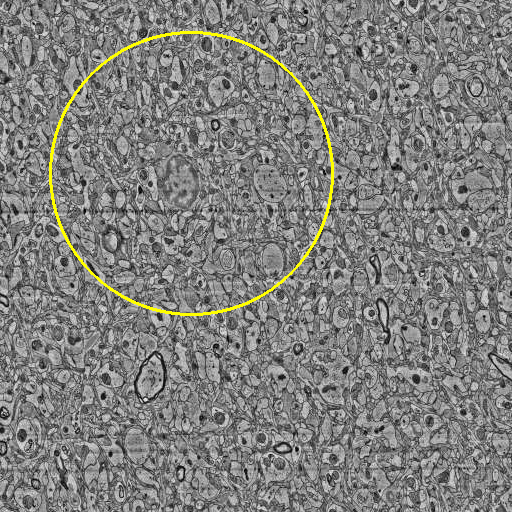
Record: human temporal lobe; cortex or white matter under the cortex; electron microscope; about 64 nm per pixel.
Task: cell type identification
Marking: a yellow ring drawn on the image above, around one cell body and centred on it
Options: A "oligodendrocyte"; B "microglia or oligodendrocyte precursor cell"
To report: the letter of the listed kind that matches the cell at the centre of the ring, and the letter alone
A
